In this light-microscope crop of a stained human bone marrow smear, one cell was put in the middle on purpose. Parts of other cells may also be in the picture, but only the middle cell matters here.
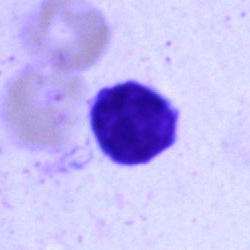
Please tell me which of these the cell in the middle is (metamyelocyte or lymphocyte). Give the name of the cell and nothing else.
lymphocyte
